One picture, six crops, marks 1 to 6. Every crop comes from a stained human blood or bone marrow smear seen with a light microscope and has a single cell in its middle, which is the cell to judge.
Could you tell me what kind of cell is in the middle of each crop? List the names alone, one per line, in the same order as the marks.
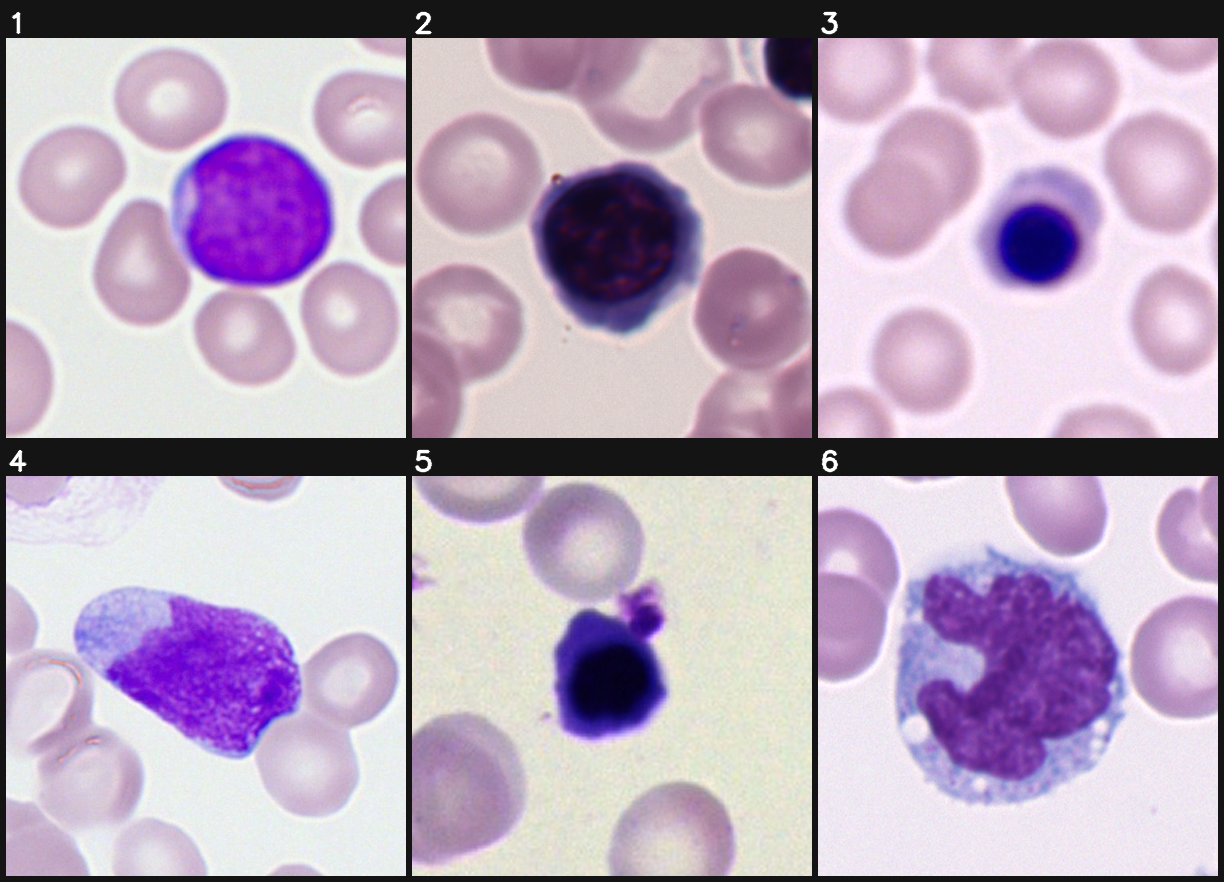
blast
normoblast
normoblast
blast
normoblast
monocyte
